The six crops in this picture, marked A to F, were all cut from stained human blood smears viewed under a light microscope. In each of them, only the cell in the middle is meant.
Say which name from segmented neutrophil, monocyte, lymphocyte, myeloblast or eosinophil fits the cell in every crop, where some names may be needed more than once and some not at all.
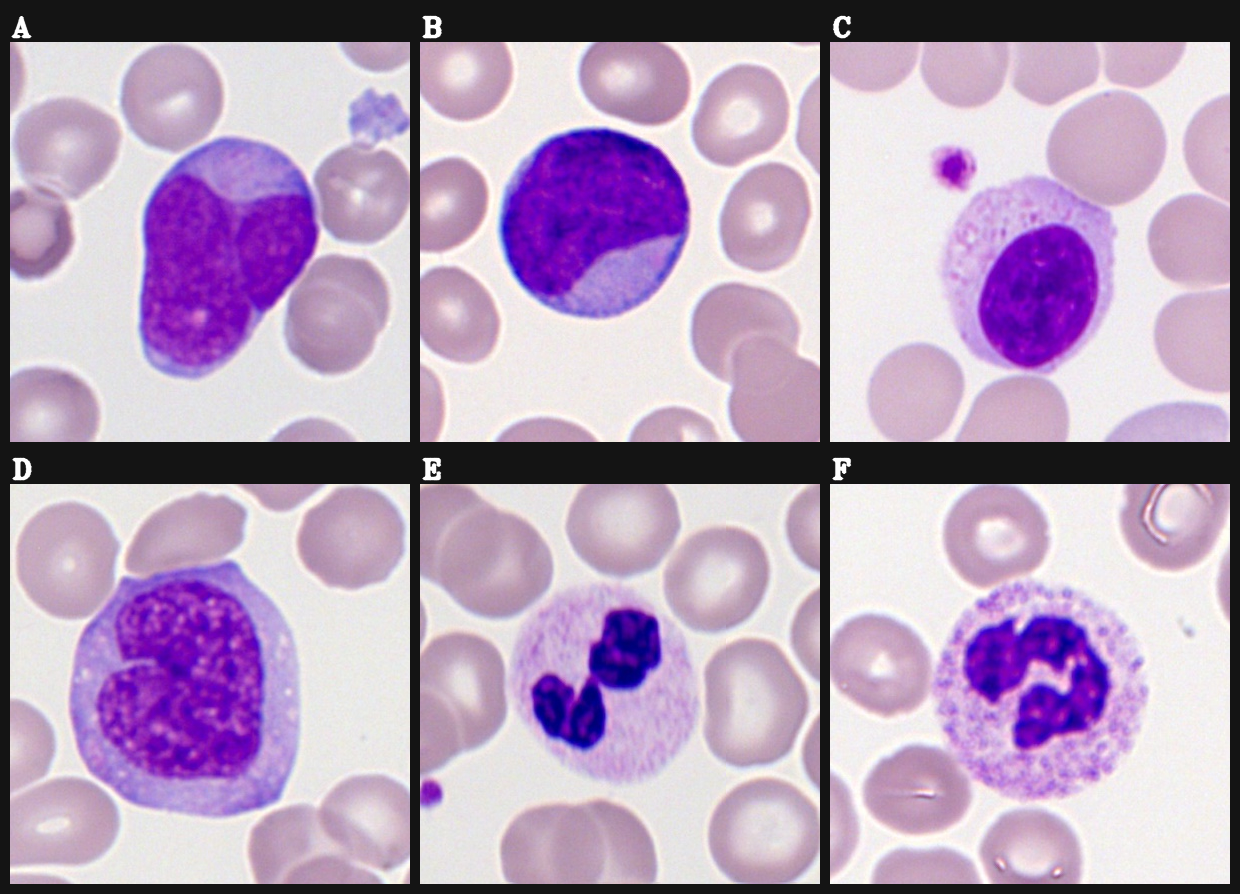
A: myeloblast
B: myeloblast
C: lymphocyte
D: monocyte
E: segmented neutrophil
F: segmented neutrophil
